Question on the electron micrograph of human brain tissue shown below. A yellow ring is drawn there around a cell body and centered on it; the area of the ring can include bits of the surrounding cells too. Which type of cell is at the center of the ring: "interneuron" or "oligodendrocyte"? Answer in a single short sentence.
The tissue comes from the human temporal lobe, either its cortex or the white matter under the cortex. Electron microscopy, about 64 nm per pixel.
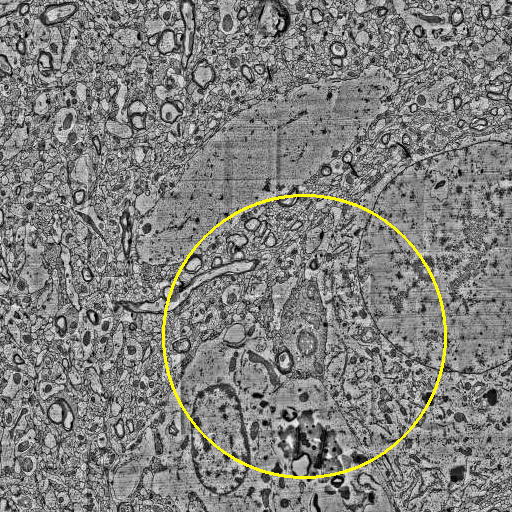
The ring is centered on an oligodendrocyte.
